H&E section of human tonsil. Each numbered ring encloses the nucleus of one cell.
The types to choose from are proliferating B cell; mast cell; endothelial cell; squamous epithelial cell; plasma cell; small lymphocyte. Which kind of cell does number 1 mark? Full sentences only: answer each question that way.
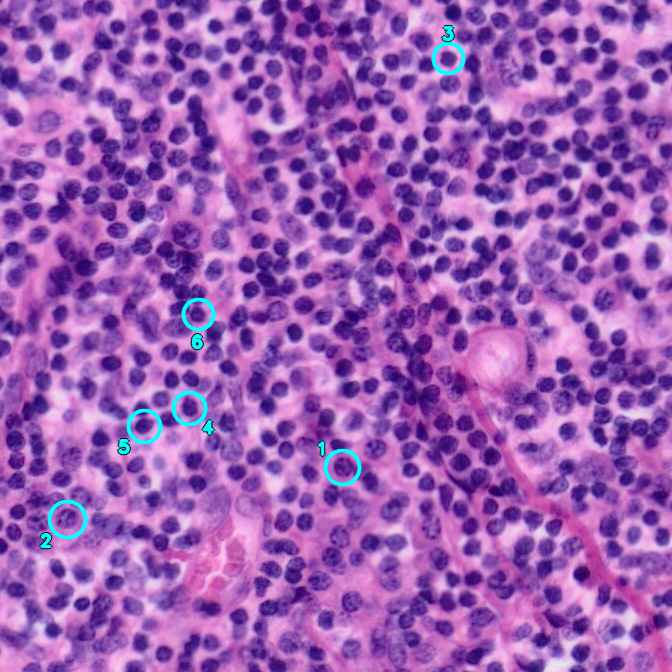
Cell 1, among those numbered, is a plasma cell.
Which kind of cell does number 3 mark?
Cell 3 in the field is a small lymphocyte.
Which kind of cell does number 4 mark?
Cell 4 of the marked set is a small lymphocyte.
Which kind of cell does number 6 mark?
Cell 6 should be recorded as a small lymphocyte.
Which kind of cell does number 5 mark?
The cell identified by the number 5 is a small lymphocyte.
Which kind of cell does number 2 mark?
What the number 2 marks in this field is a plasma cell.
